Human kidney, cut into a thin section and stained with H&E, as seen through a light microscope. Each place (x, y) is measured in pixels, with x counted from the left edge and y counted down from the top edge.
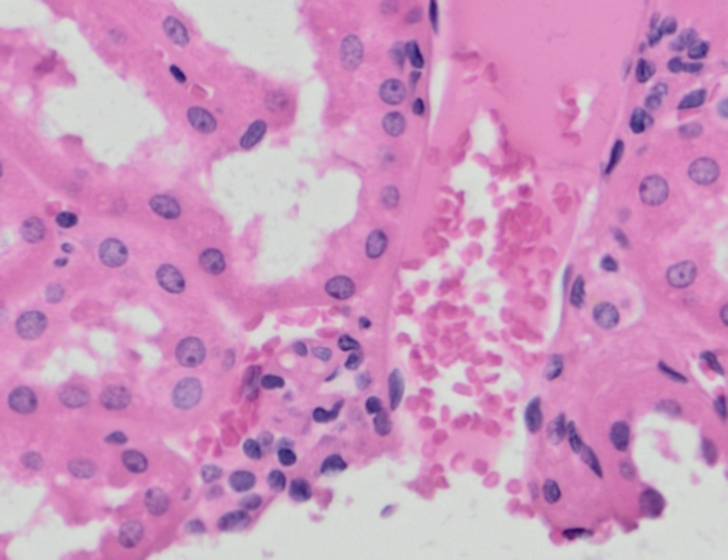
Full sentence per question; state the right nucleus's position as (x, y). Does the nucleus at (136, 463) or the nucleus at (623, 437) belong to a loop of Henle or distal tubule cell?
Between the two nuclei, the one sitting at (623, 437) belongs to a loop of Henle or distal tubule cell.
